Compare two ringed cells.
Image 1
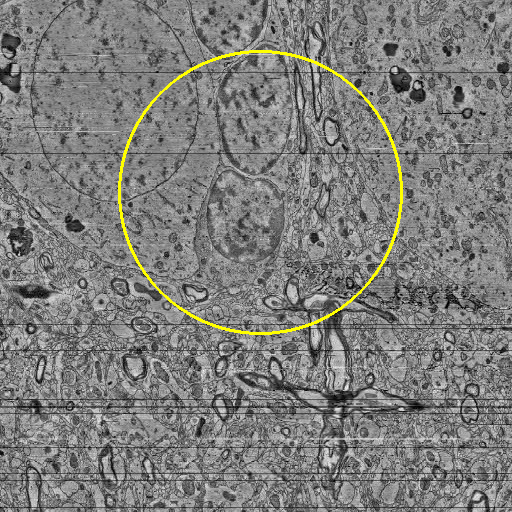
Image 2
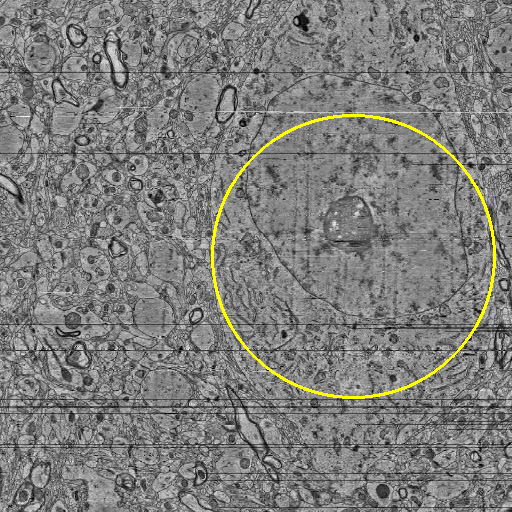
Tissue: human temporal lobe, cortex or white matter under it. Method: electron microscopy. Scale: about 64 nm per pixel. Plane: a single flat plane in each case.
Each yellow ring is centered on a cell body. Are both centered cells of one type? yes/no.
no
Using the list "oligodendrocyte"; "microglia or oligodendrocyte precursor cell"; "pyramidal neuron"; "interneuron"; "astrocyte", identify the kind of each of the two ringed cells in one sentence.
The first is an oligodendrocyte and the second is a pyramidal neuron.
